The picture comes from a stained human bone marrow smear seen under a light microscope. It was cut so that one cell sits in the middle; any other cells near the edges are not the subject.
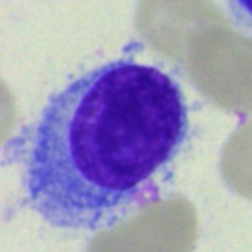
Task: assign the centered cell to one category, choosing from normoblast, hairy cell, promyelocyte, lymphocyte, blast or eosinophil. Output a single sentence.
The cell at the heart of this crop is a hairy cell.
